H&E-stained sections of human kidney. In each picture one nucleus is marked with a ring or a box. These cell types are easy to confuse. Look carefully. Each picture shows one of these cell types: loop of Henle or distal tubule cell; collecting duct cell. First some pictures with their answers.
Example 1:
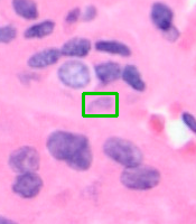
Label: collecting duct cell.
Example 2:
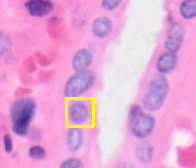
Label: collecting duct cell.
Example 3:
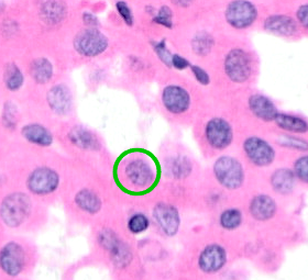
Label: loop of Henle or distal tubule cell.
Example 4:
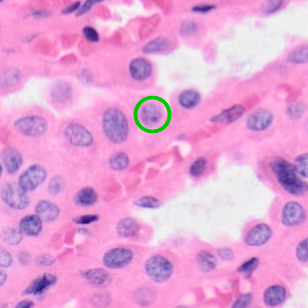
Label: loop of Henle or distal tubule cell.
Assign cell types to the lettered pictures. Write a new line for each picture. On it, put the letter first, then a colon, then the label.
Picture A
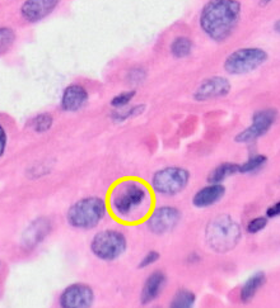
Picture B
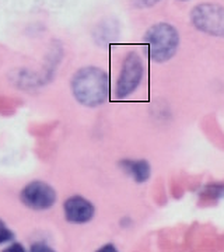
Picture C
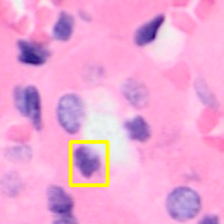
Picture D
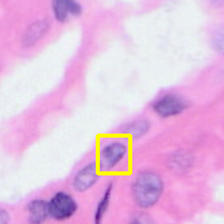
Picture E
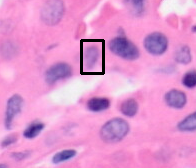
A: loop of Henle or distal tubule cell.
B: collecting duct cell.
C: loop of Henle or distal tubule cell.
D: collecting duct cell.
E: collecting duct cell.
